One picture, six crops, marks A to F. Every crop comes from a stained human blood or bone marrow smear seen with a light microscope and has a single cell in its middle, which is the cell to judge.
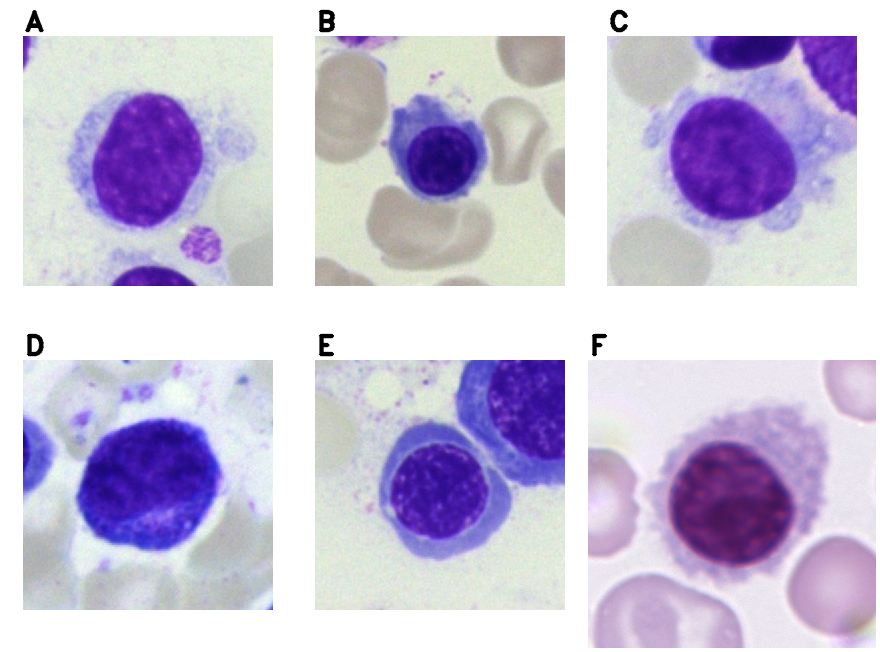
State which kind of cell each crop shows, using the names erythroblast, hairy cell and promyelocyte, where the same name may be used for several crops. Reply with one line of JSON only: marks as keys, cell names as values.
{"A": "hairy cell", "B": "erythroblast", "C": "hairy cell", "D": "promyelocyte", "E": "erythroblast", "F": "hairy cell"}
